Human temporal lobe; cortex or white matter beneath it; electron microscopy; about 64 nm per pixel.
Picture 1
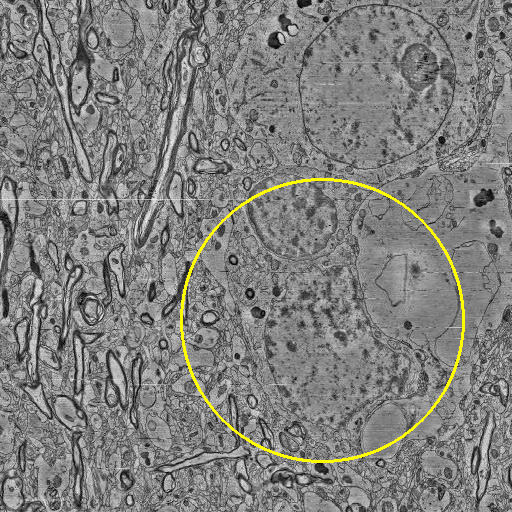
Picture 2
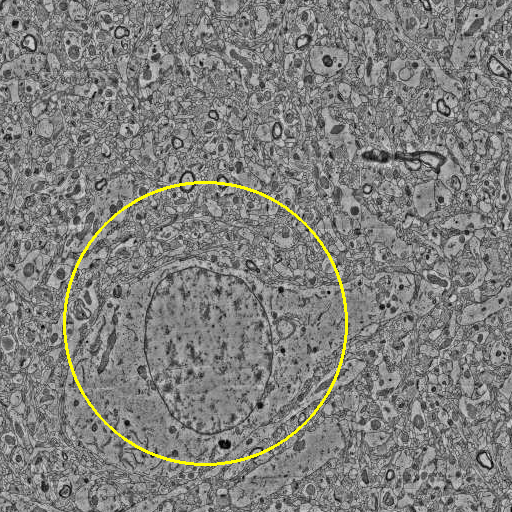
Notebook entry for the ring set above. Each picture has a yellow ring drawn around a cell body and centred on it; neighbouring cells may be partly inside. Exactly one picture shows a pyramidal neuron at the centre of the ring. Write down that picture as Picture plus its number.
Picture 2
